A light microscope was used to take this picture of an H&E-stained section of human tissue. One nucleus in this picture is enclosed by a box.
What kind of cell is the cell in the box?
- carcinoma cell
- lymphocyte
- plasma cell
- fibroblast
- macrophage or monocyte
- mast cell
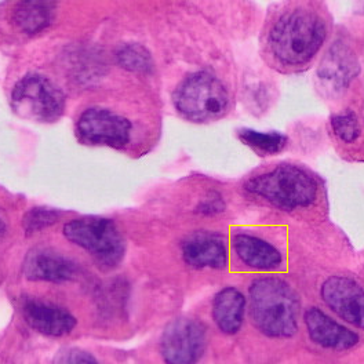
carcinoma cell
